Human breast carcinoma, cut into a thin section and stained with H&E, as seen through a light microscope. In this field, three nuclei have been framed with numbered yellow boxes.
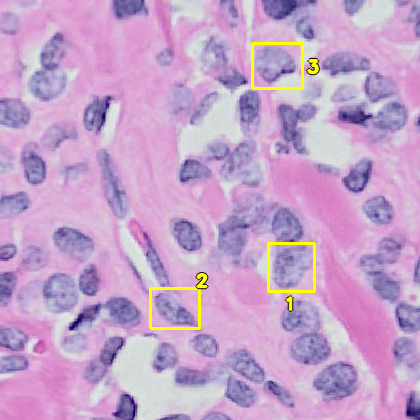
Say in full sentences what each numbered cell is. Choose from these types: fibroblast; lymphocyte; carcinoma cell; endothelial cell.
Cells 1 and 3 are carcinoma cells. Cell 2 is an endothelial cell.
